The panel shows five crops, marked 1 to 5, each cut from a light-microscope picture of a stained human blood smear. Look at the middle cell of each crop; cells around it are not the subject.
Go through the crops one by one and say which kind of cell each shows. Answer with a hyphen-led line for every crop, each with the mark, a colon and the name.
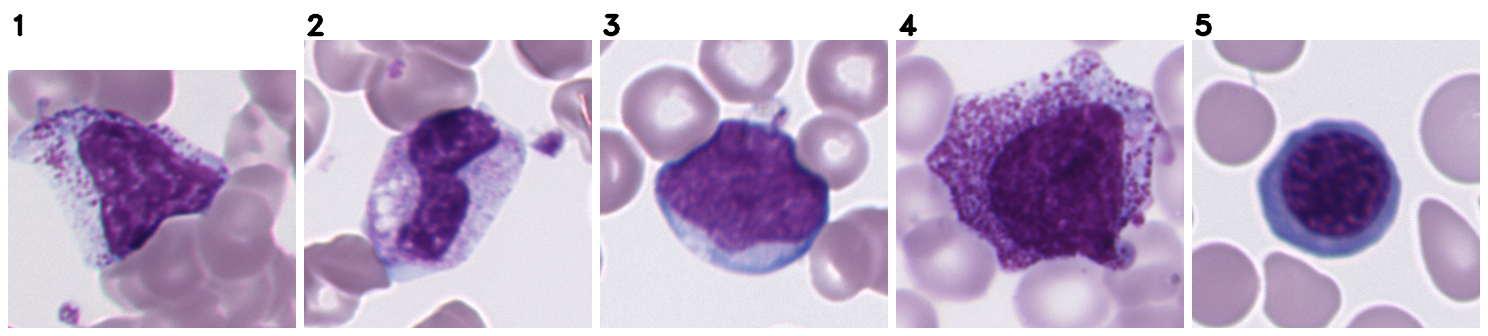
- 1: myelocyte
- 2: band neutrophil
- 3: myeloblast
- 4: promyelocyte
- 5: normoblast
